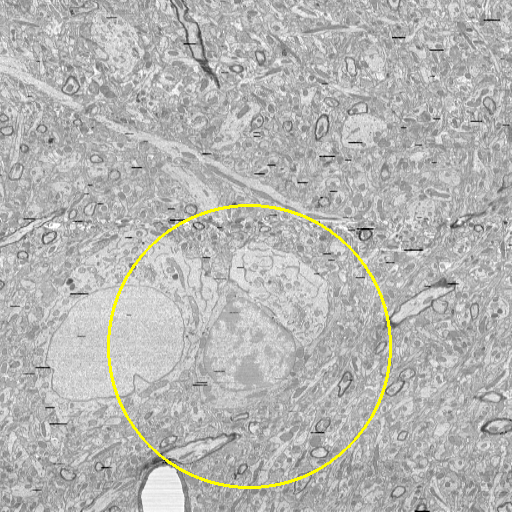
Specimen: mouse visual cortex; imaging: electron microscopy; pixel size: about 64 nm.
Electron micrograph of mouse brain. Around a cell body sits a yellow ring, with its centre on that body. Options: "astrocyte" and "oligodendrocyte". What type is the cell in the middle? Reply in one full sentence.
The cell sitting at the centre of the yellow ring is an oligodendrocyte.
